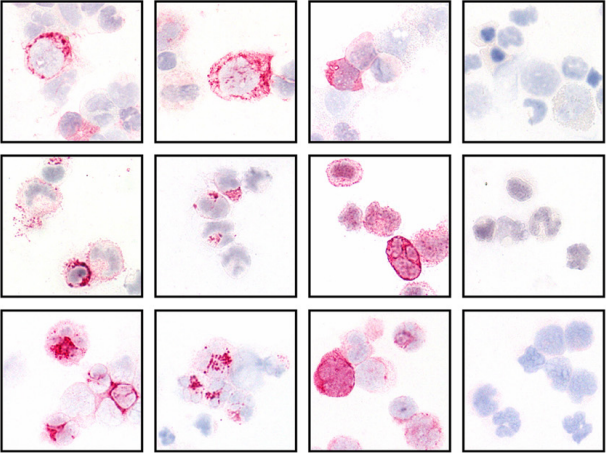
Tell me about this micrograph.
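In most fields individual cells carry a red granular or diffuse stain in the cytoplasm or along the cell edge, while other cells beside them stay blue. In the rightmost column the cells show only blue nuclei with no red stain.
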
